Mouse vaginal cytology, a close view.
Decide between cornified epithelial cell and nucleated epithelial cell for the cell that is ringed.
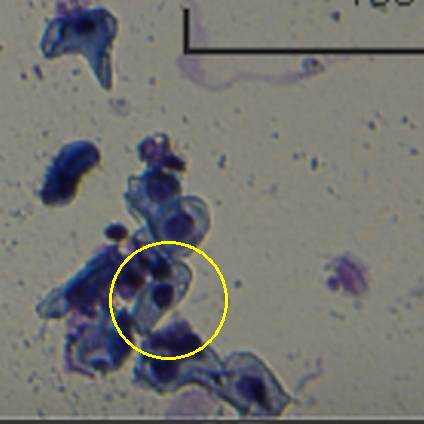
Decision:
I take the ringed cell for a nucleated epithelial cell.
